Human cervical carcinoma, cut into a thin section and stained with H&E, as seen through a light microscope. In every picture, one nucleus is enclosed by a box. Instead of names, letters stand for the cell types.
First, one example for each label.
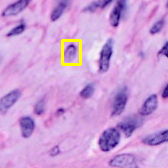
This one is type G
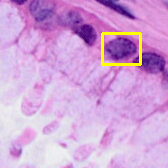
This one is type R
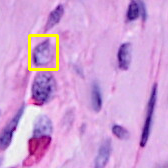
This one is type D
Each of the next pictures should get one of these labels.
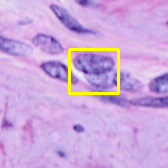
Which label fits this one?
type D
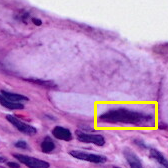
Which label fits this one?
type R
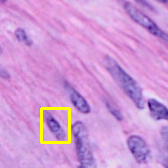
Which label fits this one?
type G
